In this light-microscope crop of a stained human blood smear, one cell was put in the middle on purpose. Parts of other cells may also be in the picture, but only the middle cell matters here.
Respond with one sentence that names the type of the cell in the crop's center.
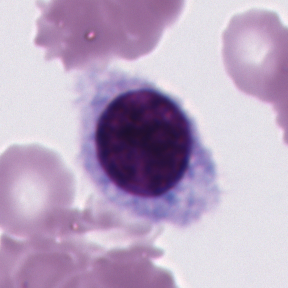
As for the central cell, it is a hairy cell.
